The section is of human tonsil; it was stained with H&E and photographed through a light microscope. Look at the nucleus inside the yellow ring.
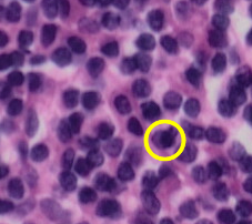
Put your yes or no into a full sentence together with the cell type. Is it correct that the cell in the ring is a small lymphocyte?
Yes, the description of the cell in the ring as a small lymphocyte is accurate.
